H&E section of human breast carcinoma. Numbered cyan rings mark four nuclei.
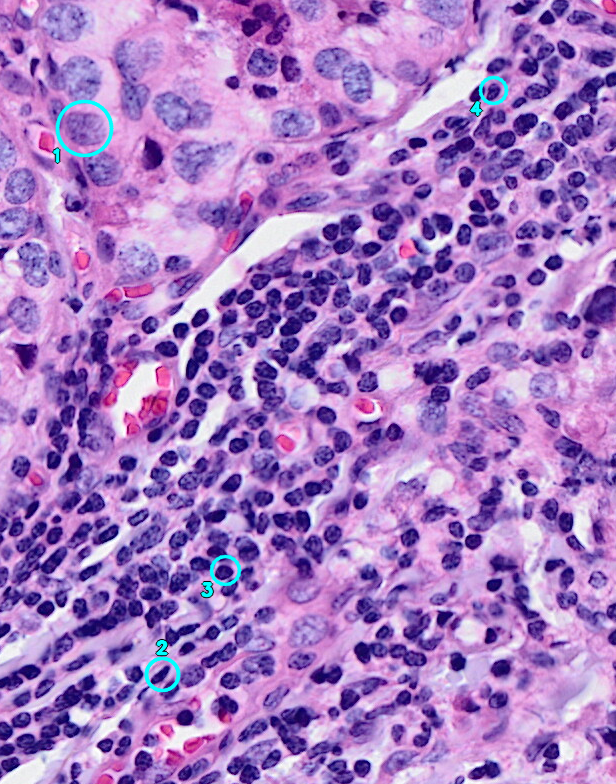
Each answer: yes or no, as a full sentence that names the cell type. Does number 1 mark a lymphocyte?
No, cell 1, which is a carcinoma cell, is not a lymphocyte.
